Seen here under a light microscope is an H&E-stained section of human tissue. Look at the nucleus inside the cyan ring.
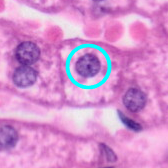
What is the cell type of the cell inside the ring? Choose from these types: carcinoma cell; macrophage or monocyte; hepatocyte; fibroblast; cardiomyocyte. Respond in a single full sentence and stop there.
The classification of the cell inside the ring is as a hepatocyte.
